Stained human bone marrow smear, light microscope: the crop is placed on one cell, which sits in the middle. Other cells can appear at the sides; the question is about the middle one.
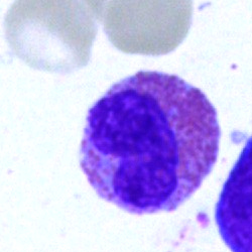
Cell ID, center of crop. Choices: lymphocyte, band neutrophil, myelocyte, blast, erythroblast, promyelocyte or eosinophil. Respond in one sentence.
Here the centrally located cell is an eosinophil.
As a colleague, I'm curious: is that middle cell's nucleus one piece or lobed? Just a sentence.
There is one compact nucleus, and its shape is round, oval or kidney-like.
